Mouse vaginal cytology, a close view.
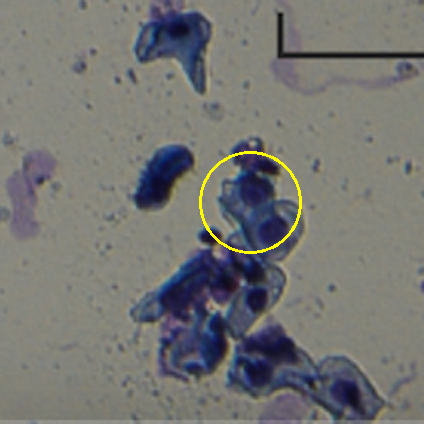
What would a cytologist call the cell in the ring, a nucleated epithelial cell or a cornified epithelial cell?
A cytologist would call it a nucleated epithelial cell.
